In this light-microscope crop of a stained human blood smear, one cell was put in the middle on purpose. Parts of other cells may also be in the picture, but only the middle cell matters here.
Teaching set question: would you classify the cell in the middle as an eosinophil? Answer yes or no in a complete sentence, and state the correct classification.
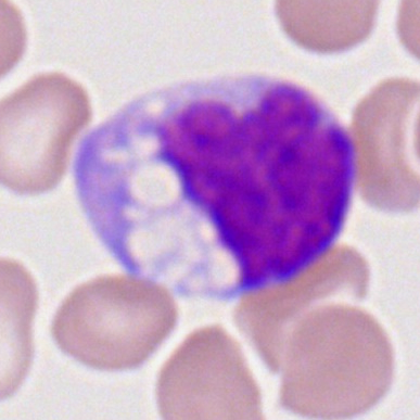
No, this cell in the middle is a monocyte, so it is not an eosinophil.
